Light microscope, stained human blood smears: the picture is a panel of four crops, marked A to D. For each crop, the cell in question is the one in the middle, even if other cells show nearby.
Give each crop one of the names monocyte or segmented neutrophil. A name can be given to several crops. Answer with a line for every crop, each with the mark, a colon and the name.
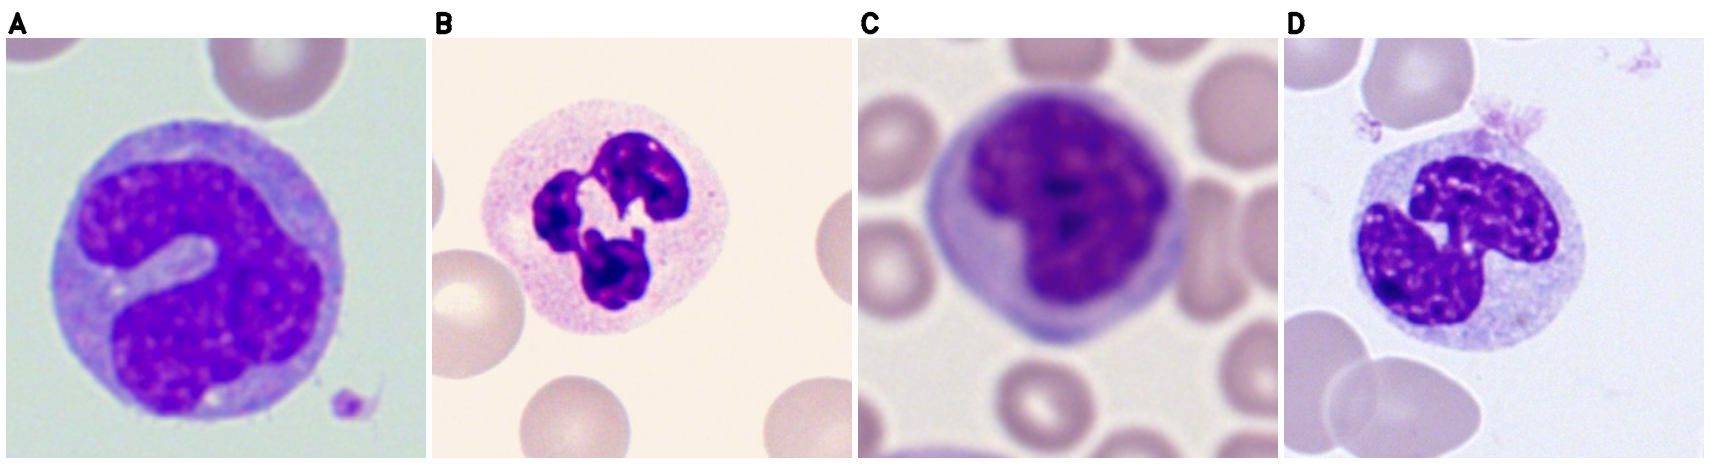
A: monocyte
B: segmented neutrophil
C: monocyte
D: monocyte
